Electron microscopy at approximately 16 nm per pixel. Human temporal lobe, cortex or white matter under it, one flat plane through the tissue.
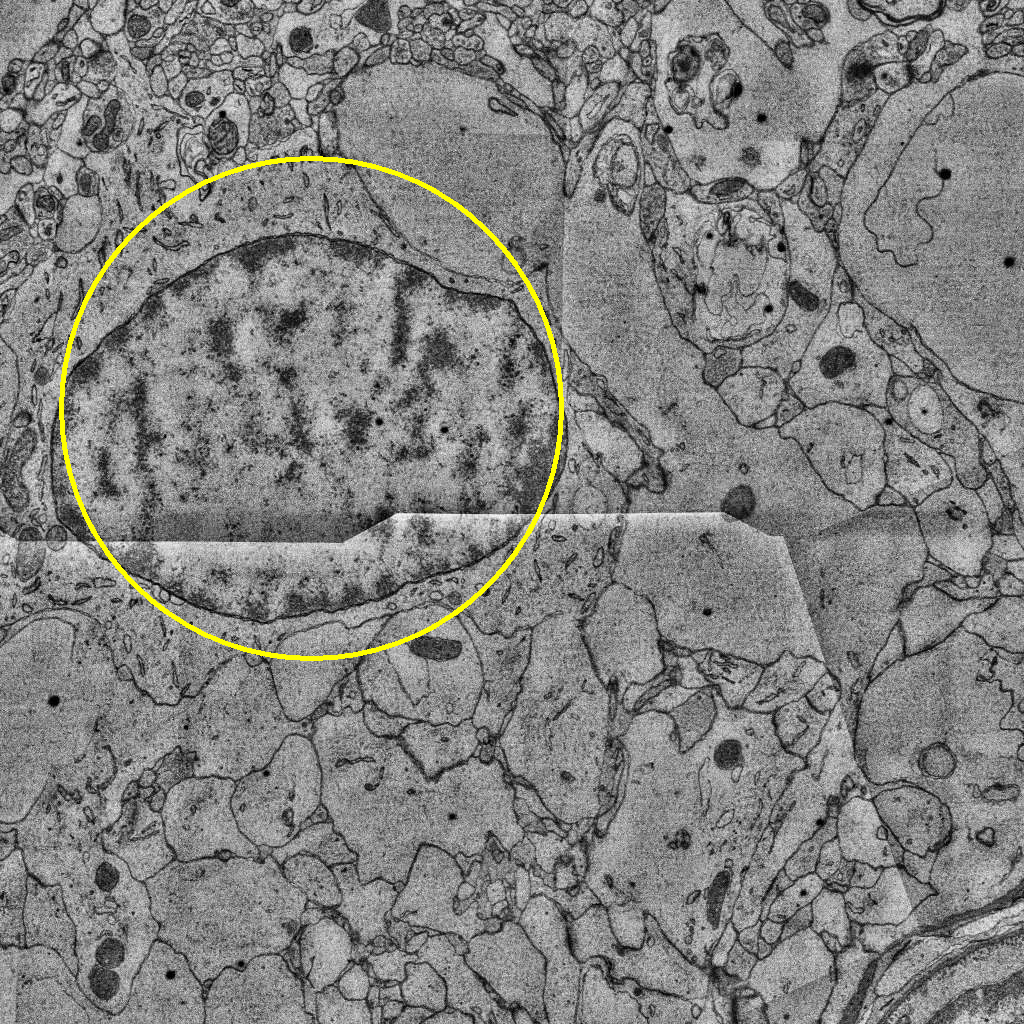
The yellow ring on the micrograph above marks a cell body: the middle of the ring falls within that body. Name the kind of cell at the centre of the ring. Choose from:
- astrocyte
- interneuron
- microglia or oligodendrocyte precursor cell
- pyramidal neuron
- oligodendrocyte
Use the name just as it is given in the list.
microglia or oligodendrocyte precursor cell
